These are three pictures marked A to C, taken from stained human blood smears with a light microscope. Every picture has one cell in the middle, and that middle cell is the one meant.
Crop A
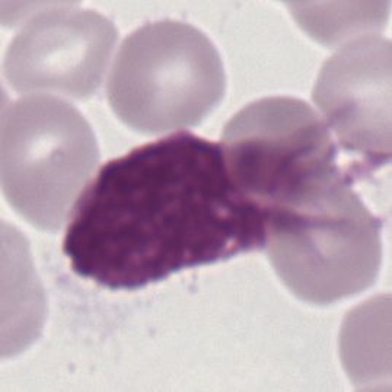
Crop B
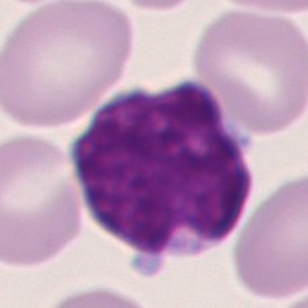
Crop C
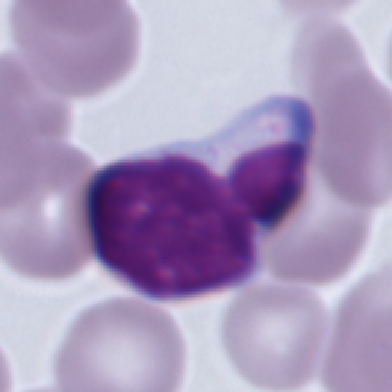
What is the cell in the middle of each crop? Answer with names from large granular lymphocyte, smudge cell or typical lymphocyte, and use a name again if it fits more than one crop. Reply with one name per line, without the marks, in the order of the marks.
smudge cell
typical lymphocyte
large granular lymphocyte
